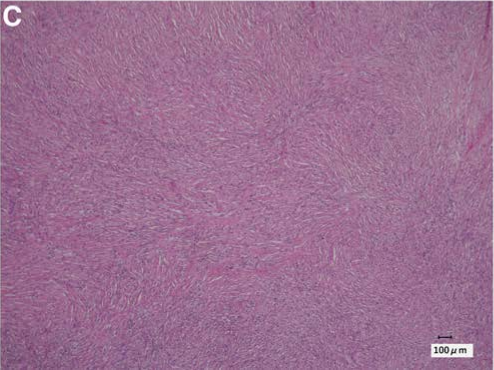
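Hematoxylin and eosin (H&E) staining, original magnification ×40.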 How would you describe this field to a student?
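At low power the tumor is a uniform sheet of pink-purple spindle cell tissue with no glands or cavities. Its bundles of elongated cells cross and swirl in many directions, making a storiform pattern across the field.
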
